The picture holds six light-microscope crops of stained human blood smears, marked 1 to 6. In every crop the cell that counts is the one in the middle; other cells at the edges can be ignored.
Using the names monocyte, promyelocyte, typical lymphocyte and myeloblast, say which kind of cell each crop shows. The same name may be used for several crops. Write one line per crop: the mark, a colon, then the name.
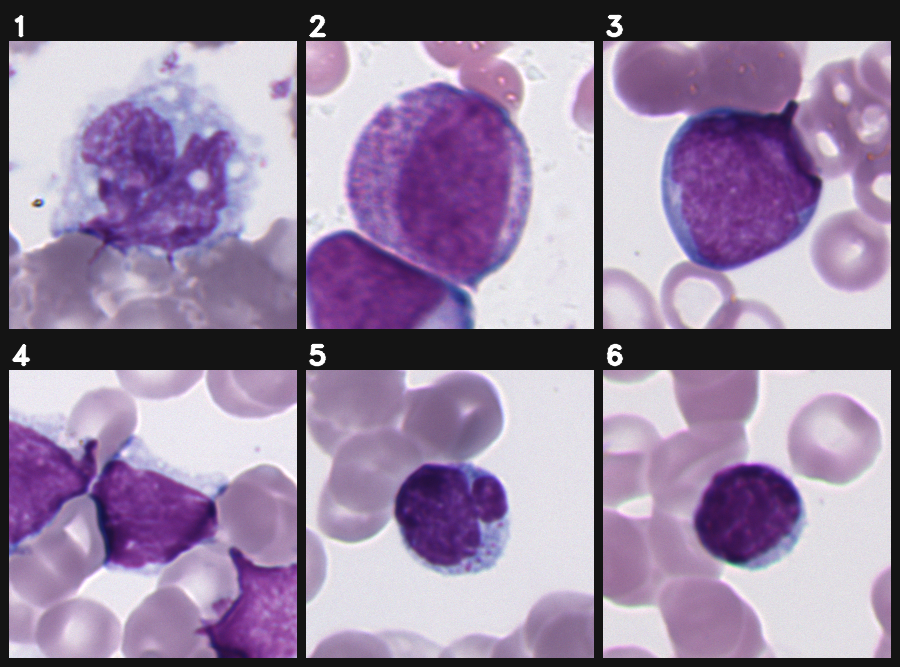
1: monocyte
2: promyelocyte
3: myeloblast
4: typical lymphocyte
5: typical lymphocyte
6: typical lymphocyte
